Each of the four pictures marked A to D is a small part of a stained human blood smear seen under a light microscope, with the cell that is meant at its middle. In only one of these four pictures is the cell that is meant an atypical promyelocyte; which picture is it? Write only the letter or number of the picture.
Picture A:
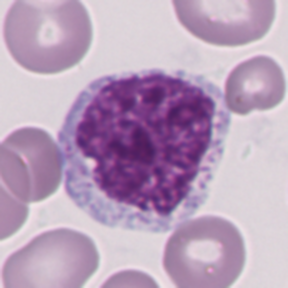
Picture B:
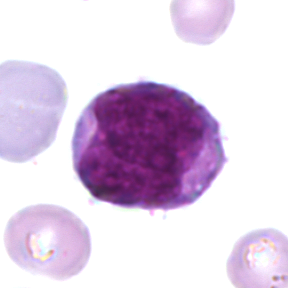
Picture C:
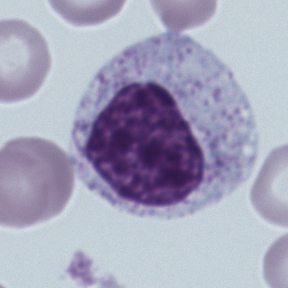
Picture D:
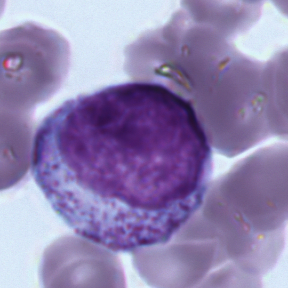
B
